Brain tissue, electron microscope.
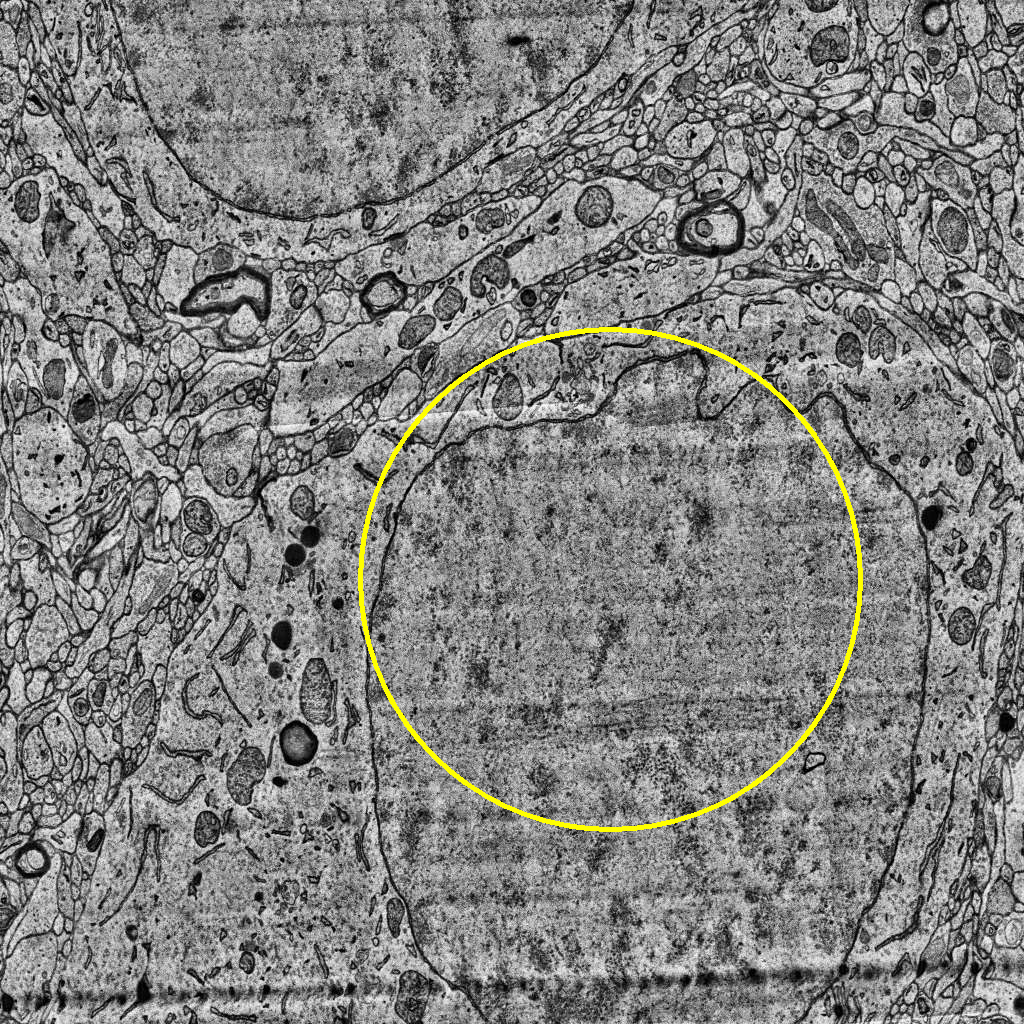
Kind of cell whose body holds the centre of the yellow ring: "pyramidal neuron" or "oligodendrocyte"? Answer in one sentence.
The ring's centre falls on a pyramidal neuron.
